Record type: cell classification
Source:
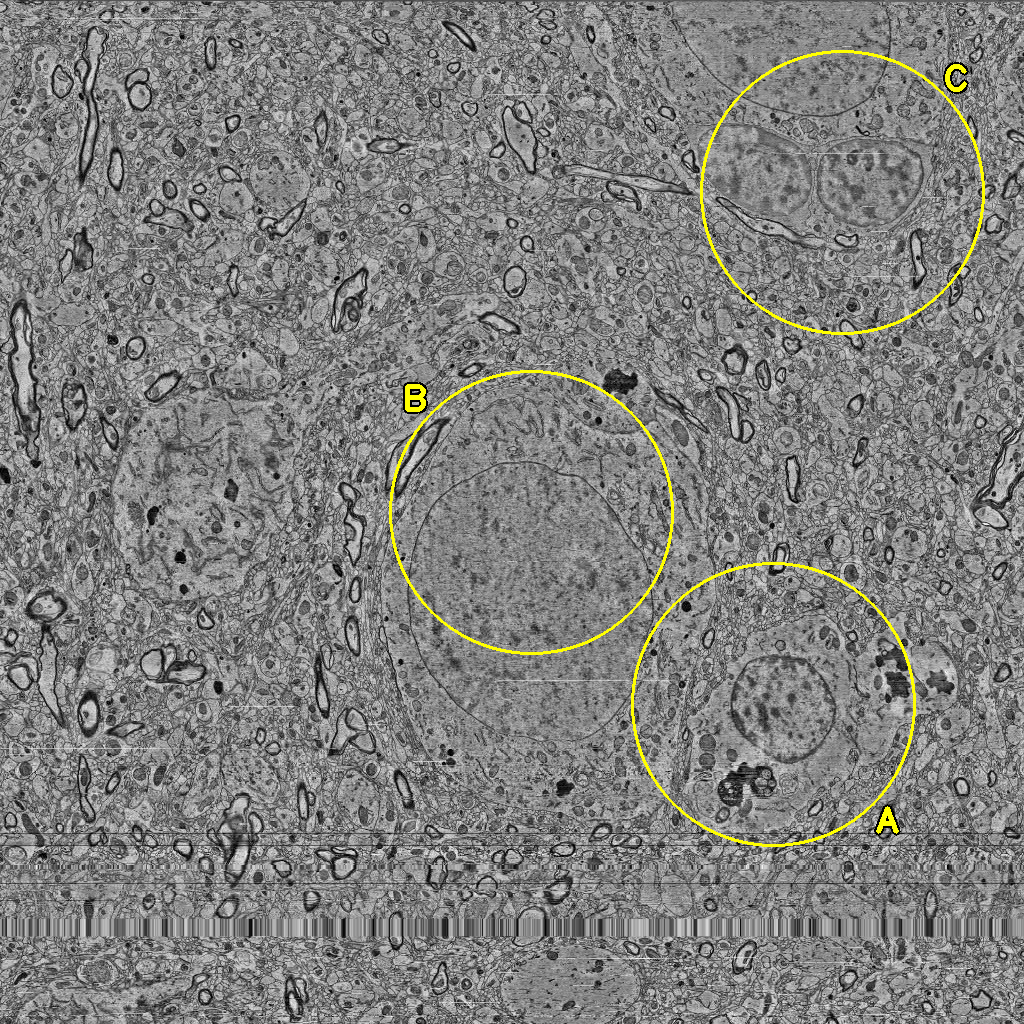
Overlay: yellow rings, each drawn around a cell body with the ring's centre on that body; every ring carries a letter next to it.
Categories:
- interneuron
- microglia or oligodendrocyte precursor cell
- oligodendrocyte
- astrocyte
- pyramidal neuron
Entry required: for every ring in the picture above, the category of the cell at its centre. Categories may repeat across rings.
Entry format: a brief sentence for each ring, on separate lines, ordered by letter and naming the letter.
At the centre of ring A lies an astrocyte.
At the centre of ring B lies a pyramidal neuron.
At the centre of ring C lies an oligodendrocyte.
